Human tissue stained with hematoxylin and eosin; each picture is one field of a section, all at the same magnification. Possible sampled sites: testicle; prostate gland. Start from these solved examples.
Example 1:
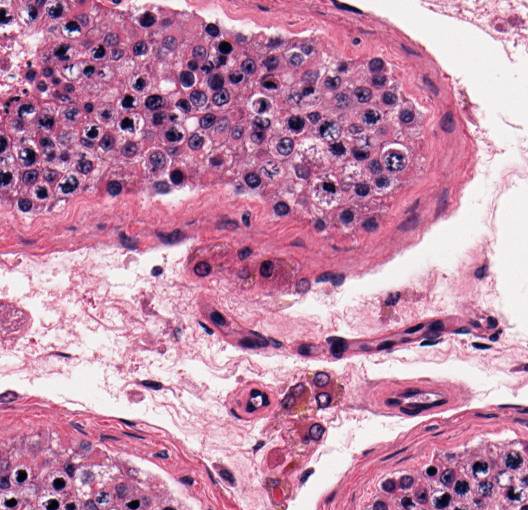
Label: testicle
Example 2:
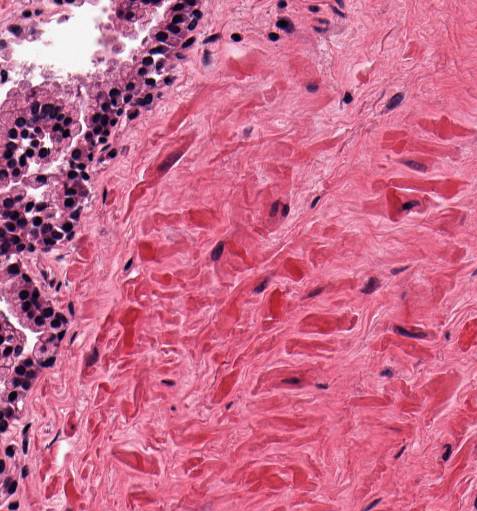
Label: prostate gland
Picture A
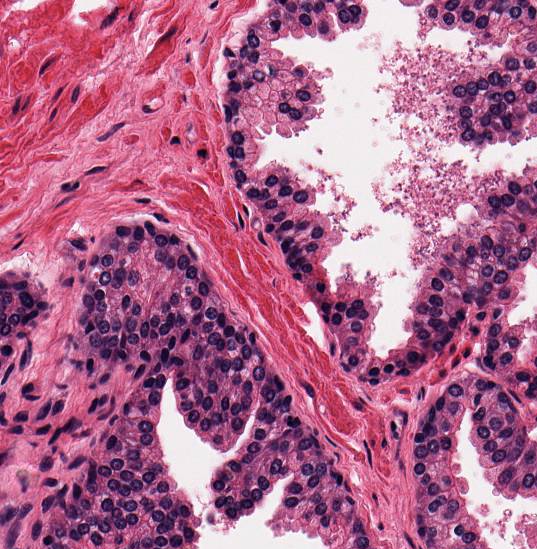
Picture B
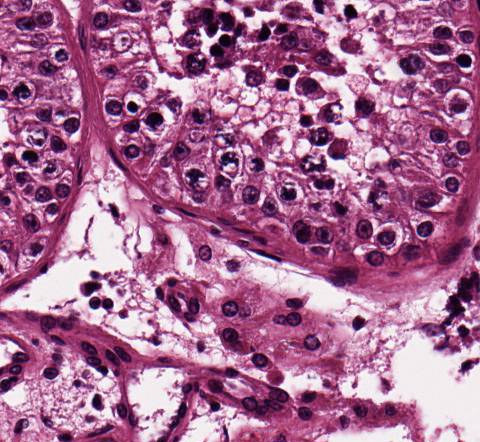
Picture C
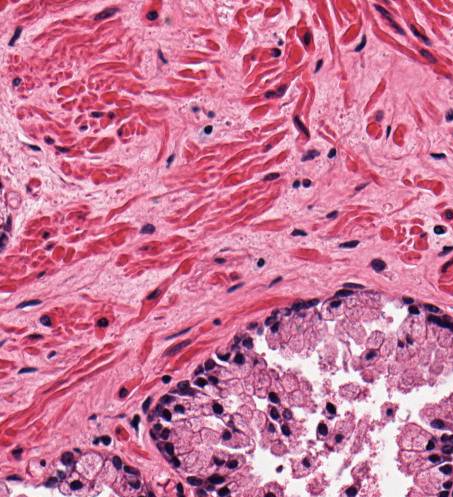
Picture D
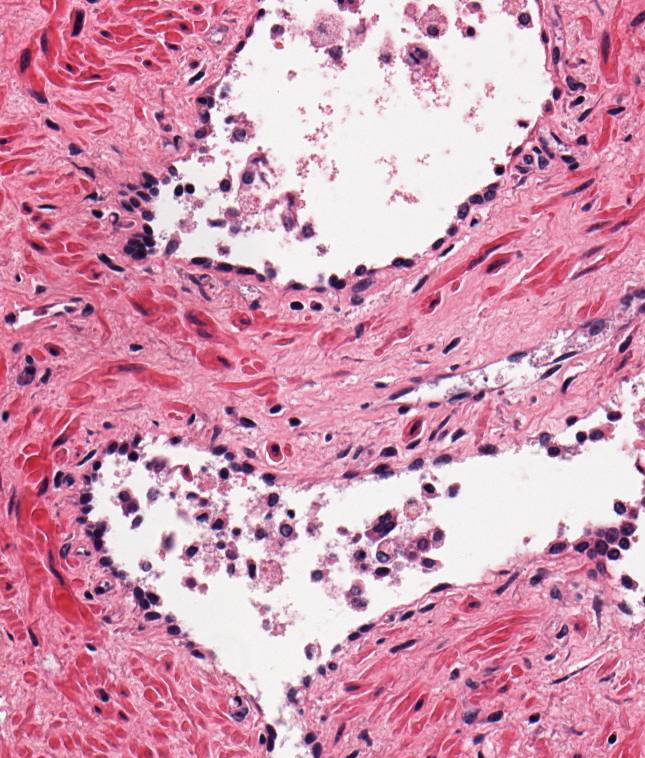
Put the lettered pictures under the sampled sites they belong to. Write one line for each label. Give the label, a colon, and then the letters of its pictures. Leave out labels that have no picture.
testicle: B
prostate gland: A, C, D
